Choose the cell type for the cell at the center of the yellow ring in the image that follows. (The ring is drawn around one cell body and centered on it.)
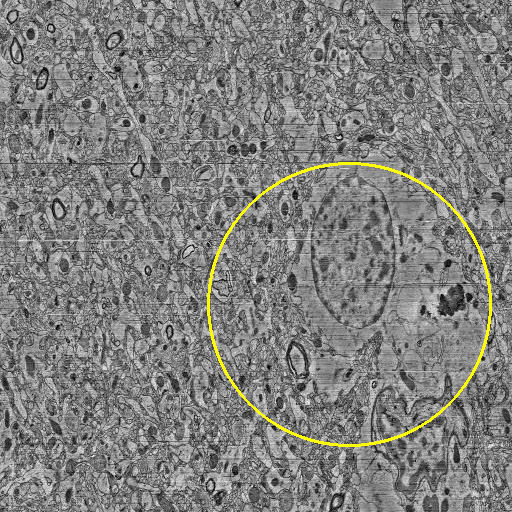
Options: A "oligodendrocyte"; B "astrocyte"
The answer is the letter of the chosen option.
B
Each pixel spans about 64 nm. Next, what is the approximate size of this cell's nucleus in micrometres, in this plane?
In this plane the nucleus measures about 10 by 5 micrometres and is clearly longer than it is wide.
